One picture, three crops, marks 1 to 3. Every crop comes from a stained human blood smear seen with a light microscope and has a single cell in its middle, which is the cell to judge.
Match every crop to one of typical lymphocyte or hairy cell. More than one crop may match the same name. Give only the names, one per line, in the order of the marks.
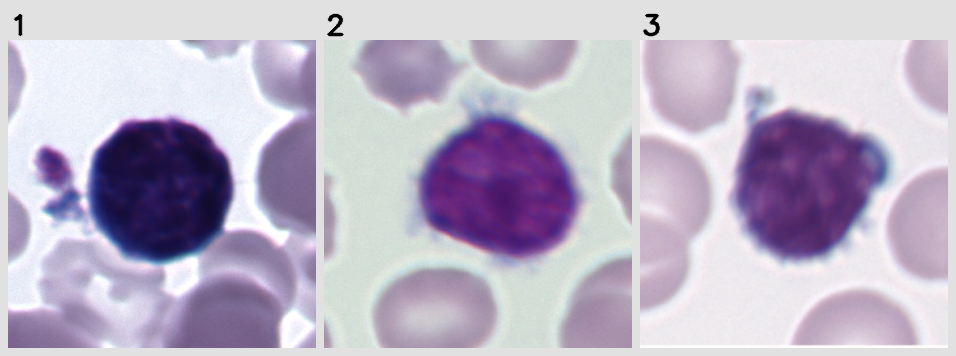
typical lymphocyte
hairy cell
typical lymphocyte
